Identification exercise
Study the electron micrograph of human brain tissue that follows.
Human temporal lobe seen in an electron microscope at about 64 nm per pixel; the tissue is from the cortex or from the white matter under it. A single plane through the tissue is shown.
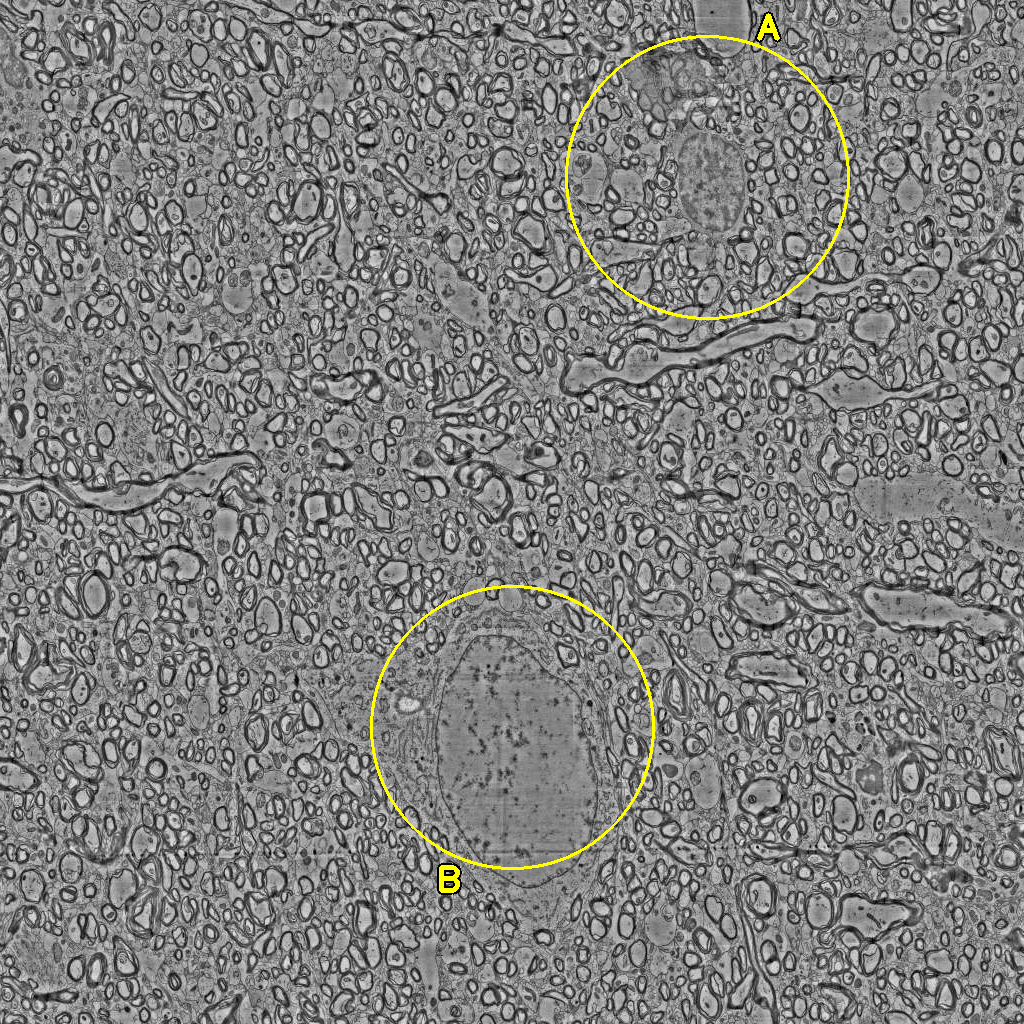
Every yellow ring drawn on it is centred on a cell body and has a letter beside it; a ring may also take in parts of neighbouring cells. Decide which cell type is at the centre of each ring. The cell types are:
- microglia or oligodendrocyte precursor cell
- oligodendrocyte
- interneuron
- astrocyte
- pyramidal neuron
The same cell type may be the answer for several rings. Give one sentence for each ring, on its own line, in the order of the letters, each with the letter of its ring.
Ring A encircles an oligodendrocyte.
Ring B encircles a pyramidal neuron.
